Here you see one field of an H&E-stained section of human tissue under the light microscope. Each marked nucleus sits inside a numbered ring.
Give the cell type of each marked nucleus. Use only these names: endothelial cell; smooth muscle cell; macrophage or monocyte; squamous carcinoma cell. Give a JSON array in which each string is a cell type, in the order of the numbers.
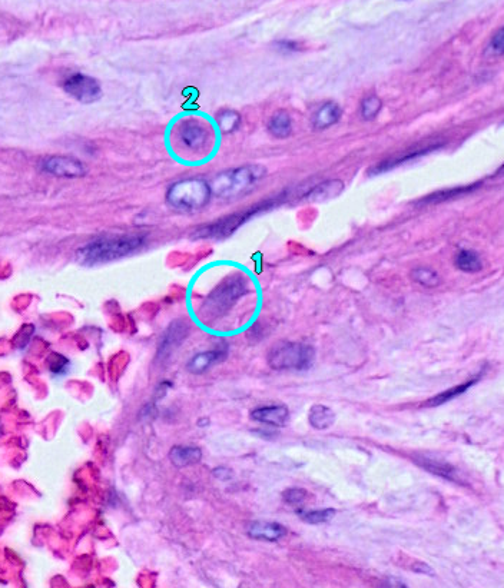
["endothelial cell", "smooth muscle cell"]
